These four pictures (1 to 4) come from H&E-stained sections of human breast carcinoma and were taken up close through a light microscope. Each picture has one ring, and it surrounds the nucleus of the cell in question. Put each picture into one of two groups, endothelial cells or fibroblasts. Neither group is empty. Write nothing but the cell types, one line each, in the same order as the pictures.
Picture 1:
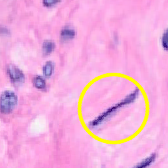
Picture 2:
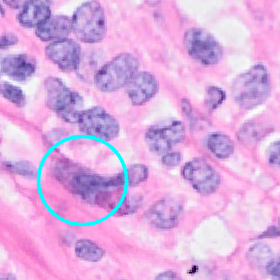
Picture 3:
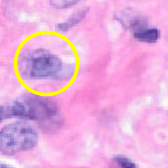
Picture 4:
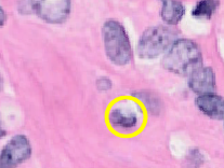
fibroblast
endothelial cell
endothelial cell
endothelial cell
